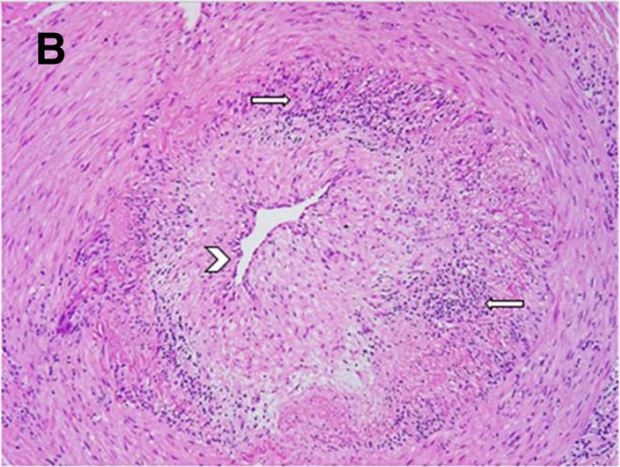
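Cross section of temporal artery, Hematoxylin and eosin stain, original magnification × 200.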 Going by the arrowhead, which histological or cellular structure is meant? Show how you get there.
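The arrowhead points to a thin, elongated white gap in the centre of the vessel. The gap is surrounded by thick, pale wall tissue. On this evidence: narrow slit-like channel.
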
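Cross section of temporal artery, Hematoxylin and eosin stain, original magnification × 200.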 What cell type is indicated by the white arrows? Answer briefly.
Lymphohistiocytic inflammatory cells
